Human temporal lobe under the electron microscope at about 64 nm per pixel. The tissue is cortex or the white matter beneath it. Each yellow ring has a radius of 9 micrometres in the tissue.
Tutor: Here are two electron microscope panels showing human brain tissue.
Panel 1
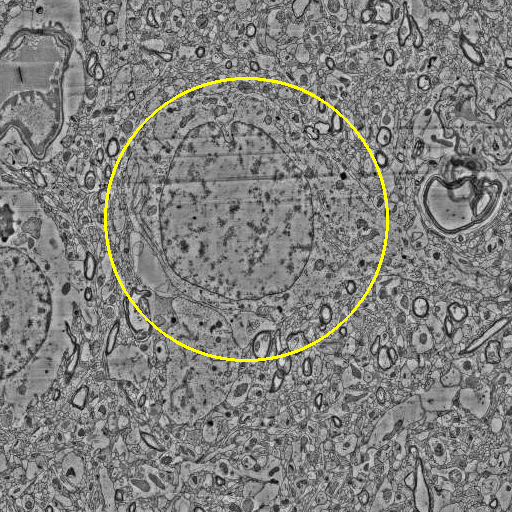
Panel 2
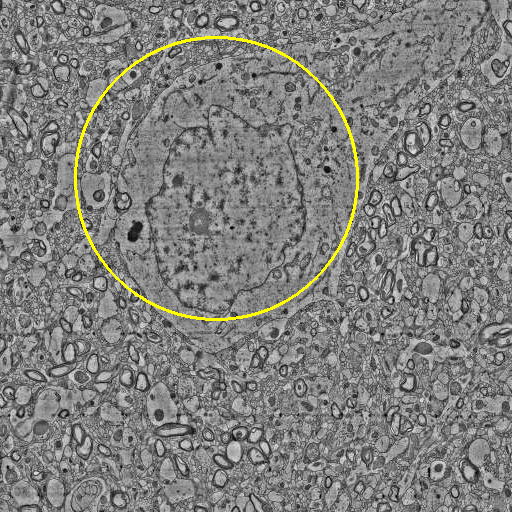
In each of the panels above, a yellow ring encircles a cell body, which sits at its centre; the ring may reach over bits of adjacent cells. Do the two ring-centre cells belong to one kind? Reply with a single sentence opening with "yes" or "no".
Yes, the two cells sitting at the ring centres in the panels belong to one kind.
